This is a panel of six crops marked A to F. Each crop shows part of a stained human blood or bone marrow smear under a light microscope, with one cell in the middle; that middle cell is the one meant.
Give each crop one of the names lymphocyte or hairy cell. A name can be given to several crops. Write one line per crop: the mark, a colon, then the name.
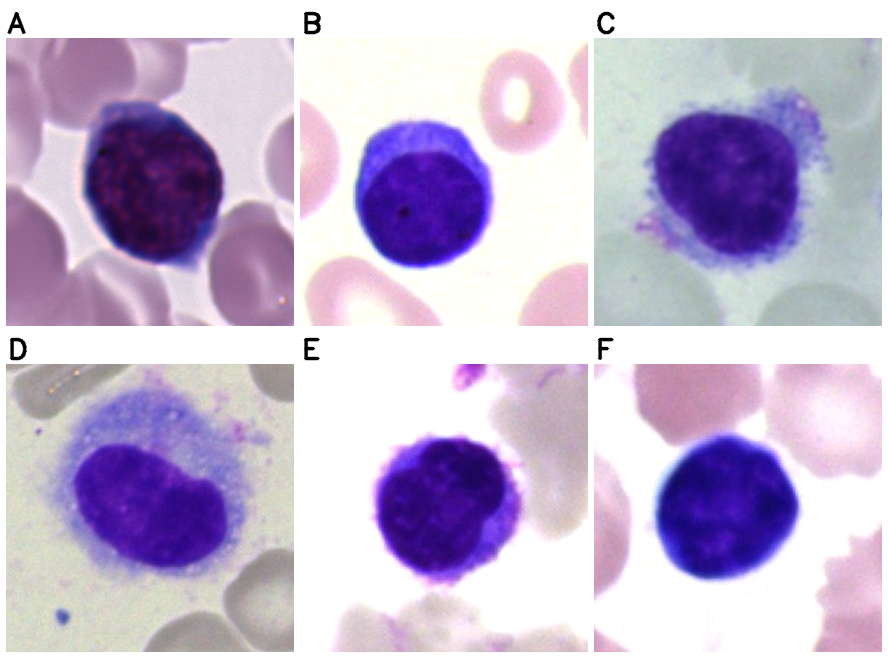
A: lymphocyte
B: lymphocyte
C: hairy cell
D: hairy cell
E: lymphocyte
F: lymphocyte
